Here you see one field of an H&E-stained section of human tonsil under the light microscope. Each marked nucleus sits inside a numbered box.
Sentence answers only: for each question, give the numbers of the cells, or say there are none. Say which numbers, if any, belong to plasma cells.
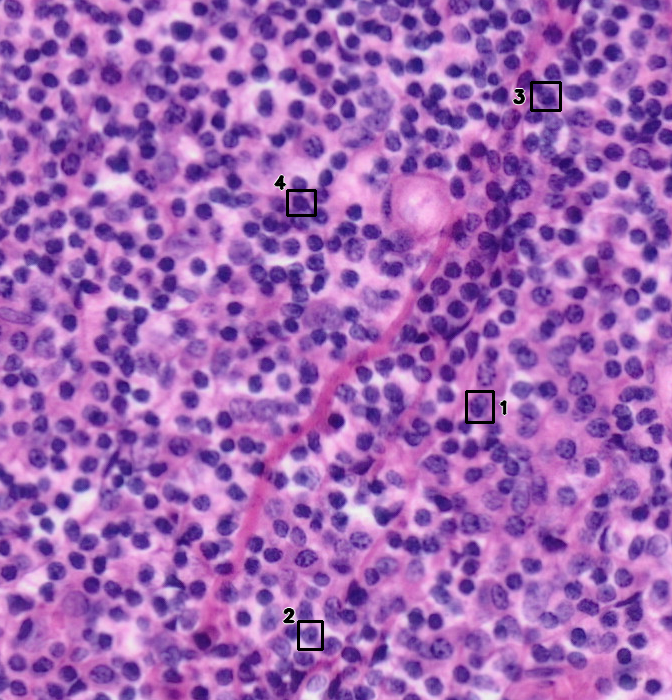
Of the cells bearing numbers, the only one that is a plasma cell is cell 1.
